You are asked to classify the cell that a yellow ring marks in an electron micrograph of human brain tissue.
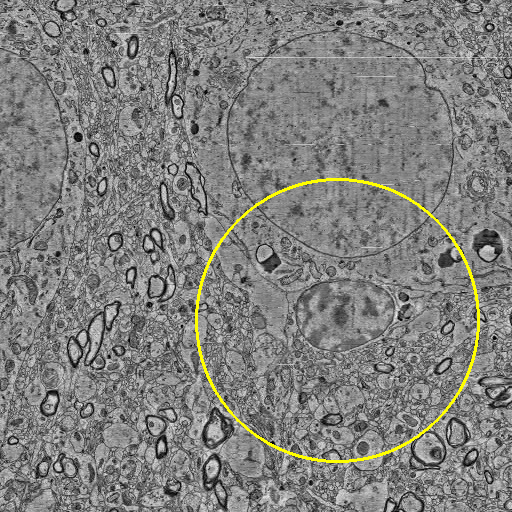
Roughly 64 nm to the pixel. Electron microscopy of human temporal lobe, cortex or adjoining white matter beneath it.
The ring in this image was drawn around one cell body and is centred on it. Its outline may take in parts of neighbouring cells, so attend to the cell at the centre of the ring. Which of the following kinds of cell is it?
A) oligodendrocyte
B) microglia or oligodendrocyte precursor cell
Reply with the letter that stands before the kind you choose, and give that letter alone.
B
